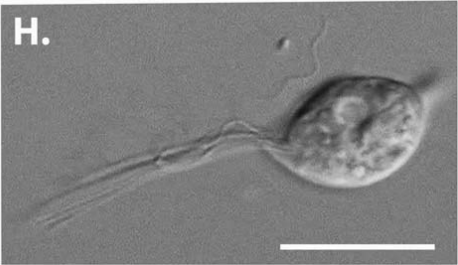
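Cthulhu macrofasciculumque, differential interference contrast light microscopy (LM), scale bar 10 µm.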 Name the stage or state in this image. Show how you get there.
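Single tight bundle projecting foraward. A rounded cell body with one long bundle of fine strands extending from it to one side. The strands stay close together along most of their length.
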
